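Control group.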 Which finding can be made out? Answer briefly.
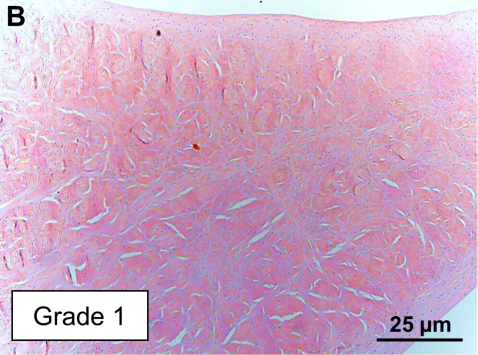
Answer: Matrix clefts.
